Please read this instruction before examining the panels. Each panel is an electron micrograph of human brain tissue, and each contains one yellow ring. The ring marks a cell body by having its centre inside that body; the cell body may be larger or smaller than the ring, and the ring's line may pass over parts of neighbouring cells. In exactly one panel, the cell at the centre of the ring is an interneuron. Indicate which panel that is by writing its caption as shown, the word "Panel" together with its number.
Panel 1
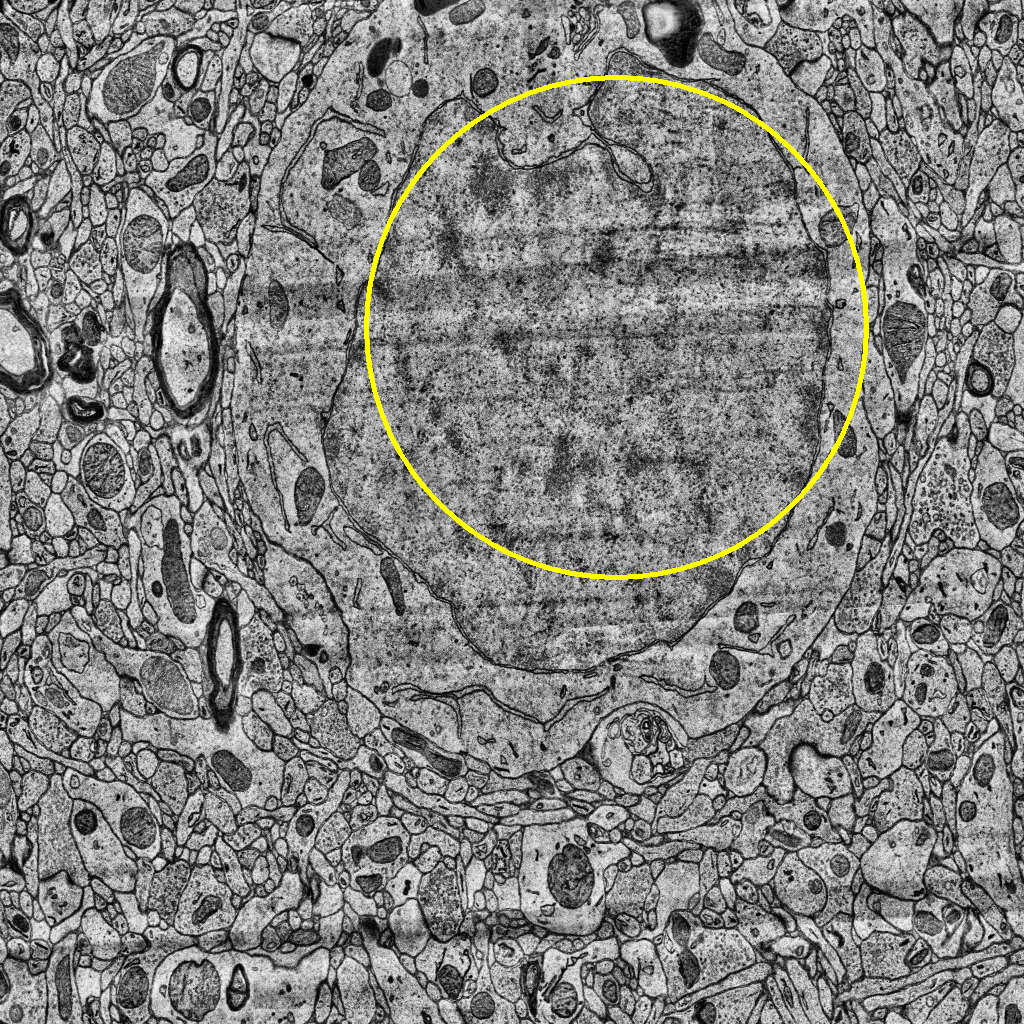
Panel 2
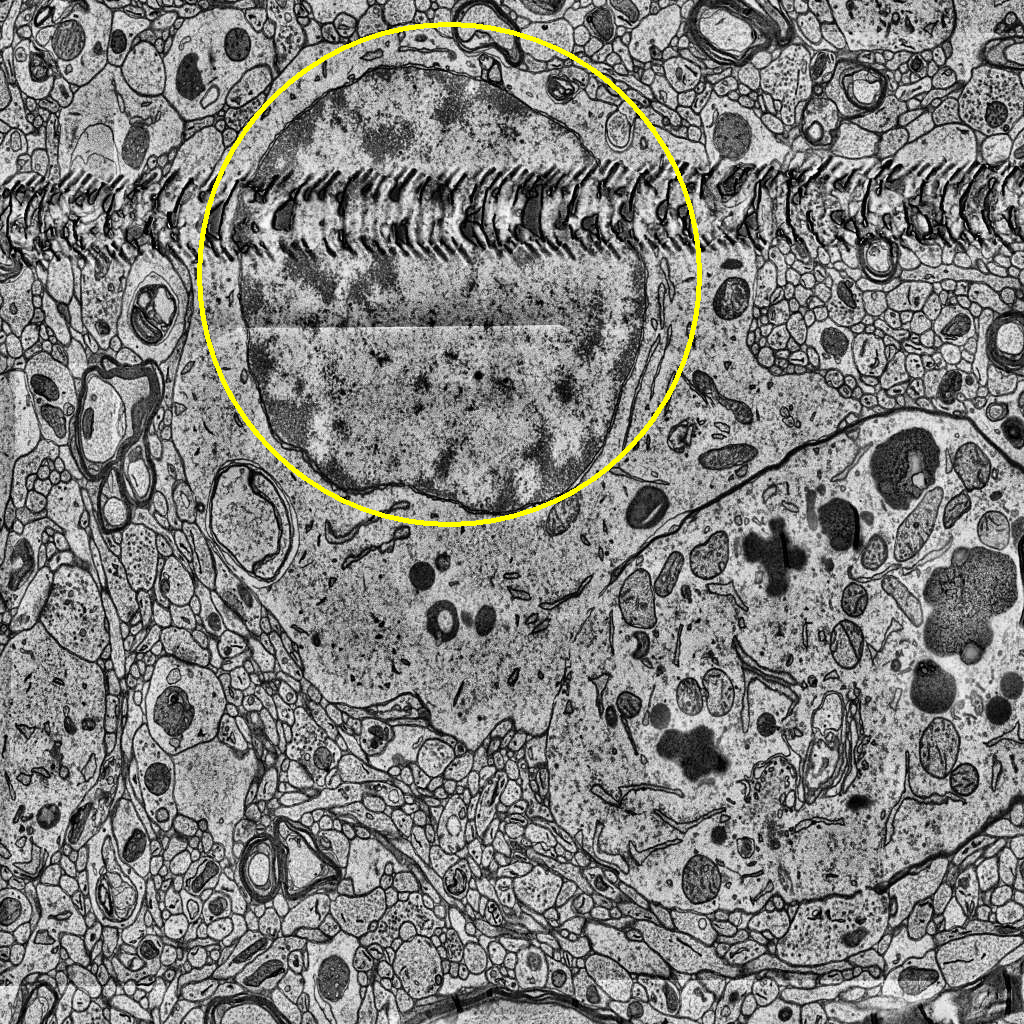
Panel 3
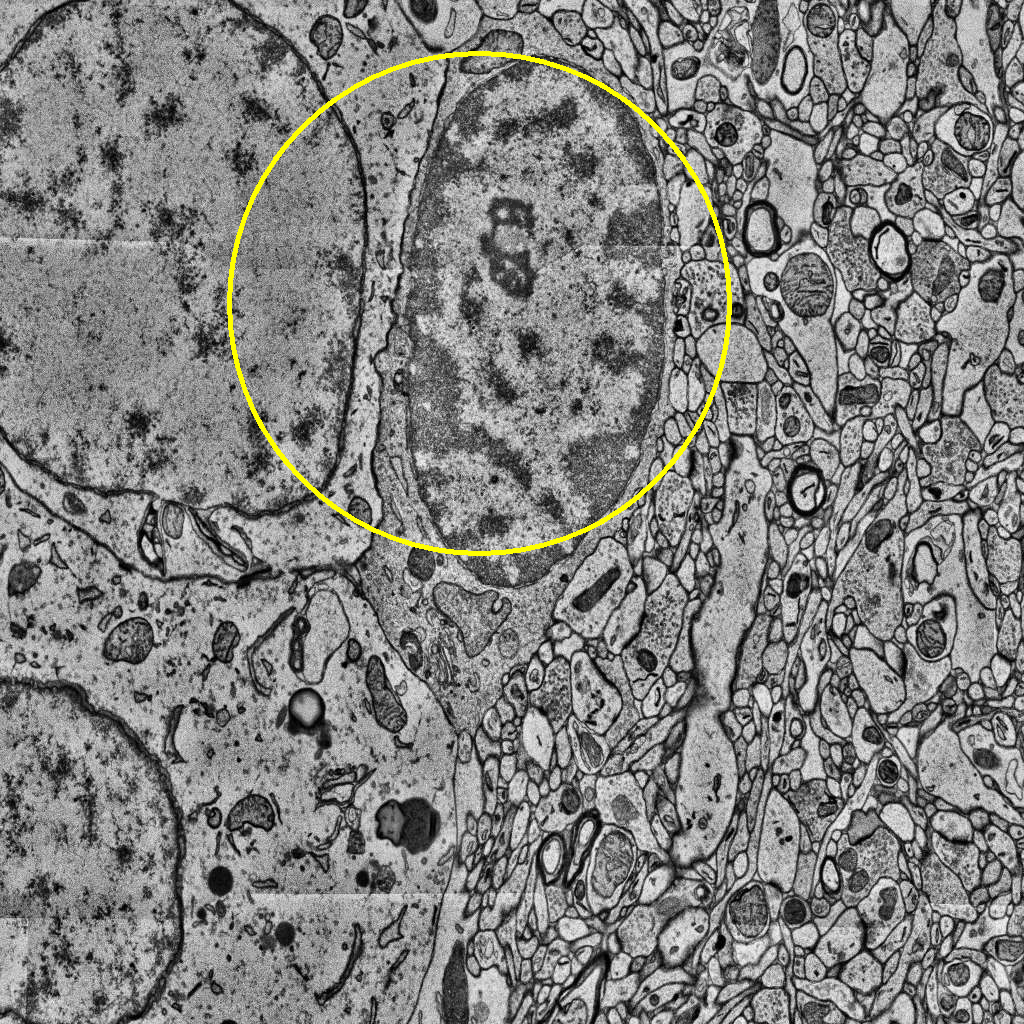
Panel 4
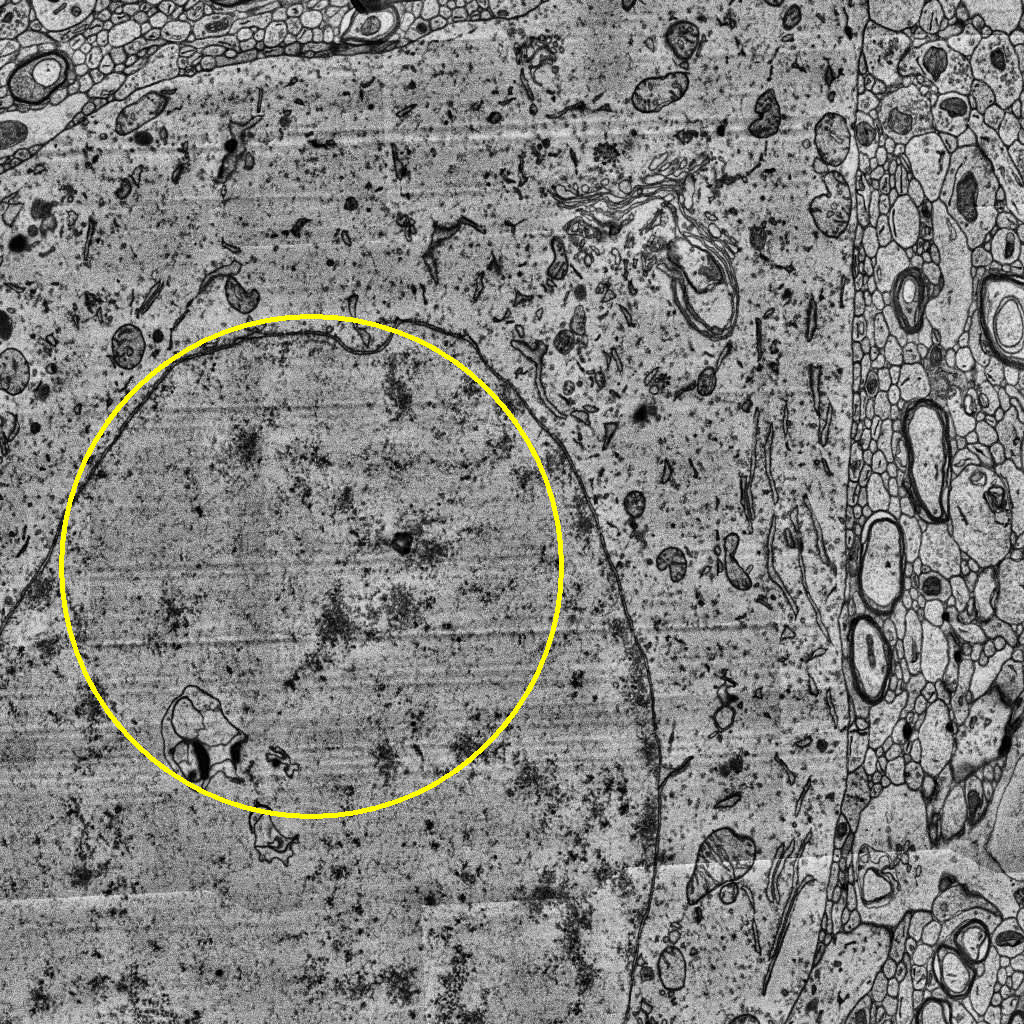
Panel 1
